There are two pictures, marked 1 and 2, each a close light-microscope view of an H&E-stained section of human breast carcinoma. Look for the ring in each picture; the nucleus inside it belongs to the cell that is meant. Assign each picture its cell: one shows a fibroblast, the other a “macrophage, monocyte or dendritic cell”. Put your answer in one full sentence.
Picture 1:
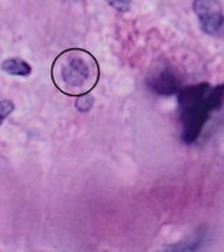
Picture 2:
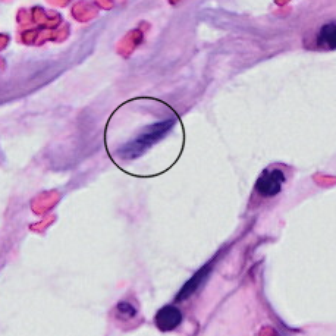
In picture 1 the cell is a “macrophage, monocyte or dendritic cell”; in picture 2, a fibroblast.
